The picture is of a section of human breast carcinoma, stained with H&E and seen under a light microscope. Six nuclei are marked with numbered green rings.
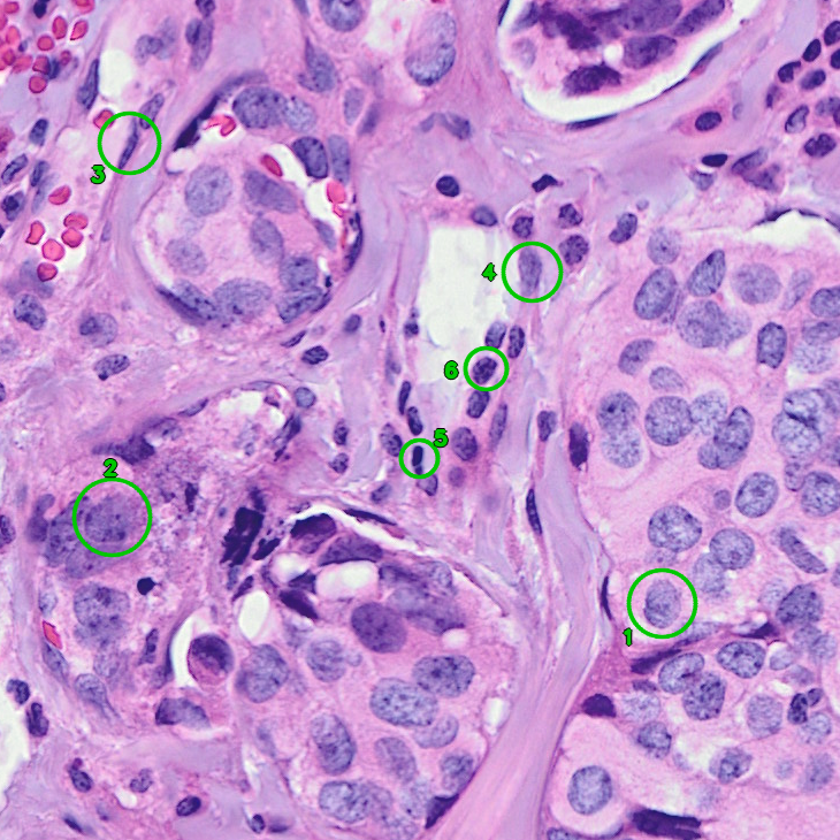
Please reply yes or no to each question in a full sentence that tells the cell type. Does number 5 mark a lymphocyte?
Yes, the one with the number 5 is a lymphocyte.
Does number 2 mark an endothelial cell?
No, the cell with the number 2 is a carcinoma cell, not an endothelial cell.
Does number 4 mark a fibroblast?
Yes, cell number 4 is classified as a fibroblast.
